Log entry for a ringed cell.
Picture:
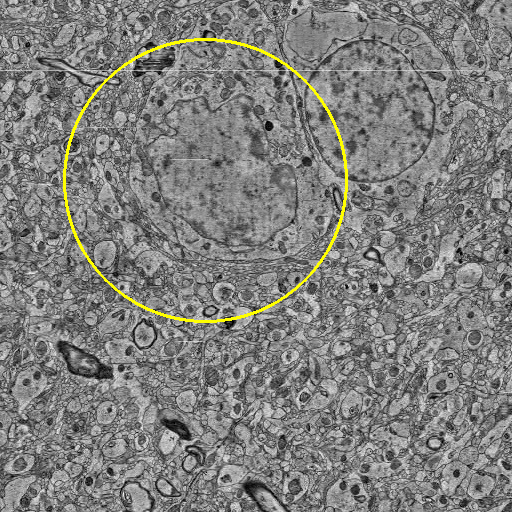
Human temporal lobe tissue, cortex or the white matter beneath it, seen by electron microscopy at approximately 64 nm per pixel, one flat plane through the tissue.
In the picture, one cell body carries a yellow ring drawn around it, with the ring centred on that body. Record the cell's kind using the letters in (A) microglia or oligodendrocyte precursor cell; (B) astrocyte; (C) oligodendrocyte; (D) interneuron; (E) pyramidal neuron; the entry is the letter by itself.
D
